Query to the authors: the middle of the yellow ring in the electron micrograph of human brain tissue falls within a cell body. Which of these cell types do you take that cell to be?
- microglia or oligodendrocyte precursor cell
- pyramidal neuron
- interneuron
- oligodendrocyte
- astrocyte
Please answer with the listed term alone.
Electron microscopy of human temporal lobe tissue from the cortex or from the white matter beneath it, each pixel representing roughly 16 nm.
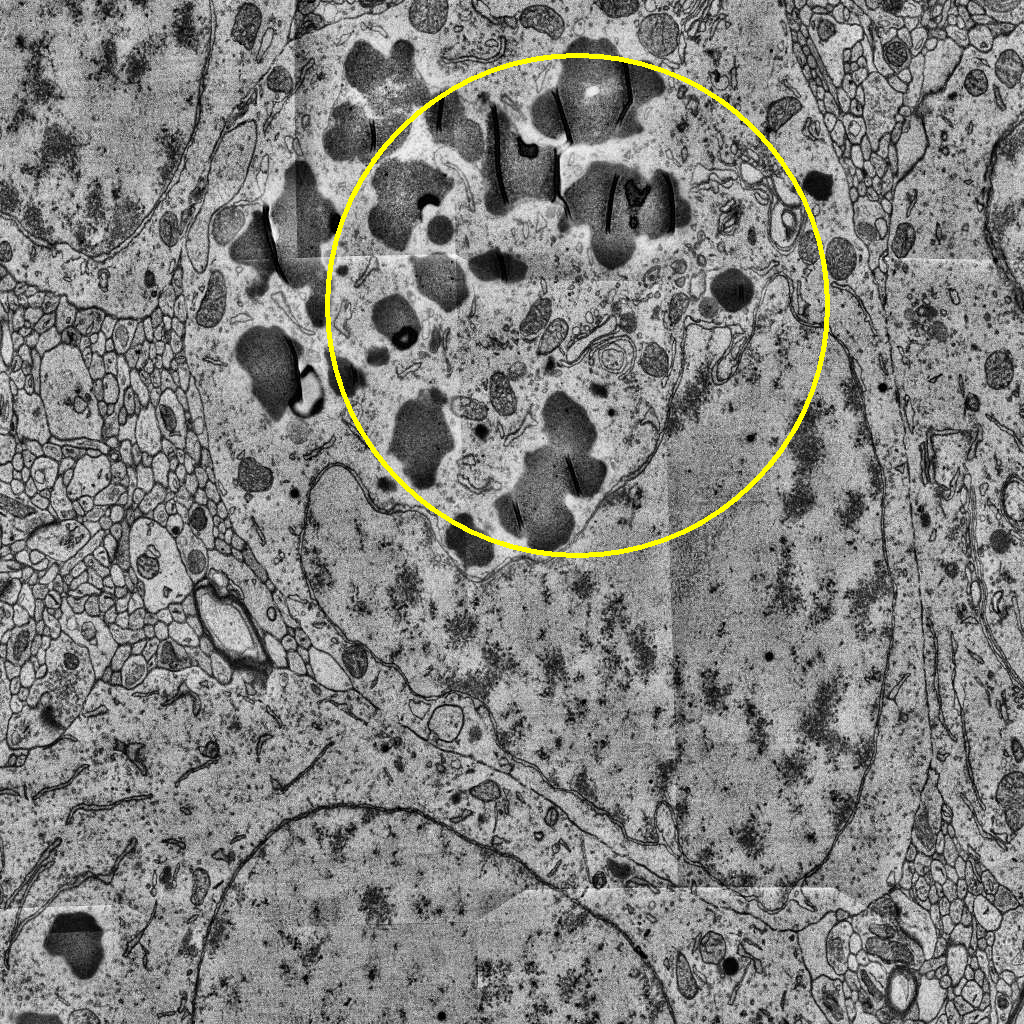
interneuron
